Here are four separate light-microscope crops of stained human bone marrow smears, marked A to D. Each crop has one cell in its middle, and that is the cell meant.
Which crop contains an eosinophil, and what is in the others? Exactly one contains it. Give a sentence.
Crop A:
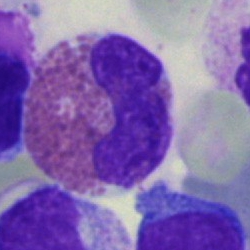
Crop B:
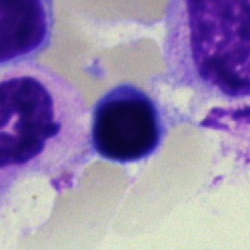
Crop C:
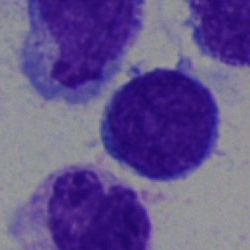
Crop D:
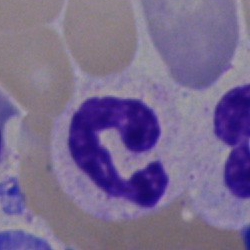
Crop A represents an eosinophil, while crop B is a lymphocyte, crop C is a blast and crop D is a segmented neutrophil.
